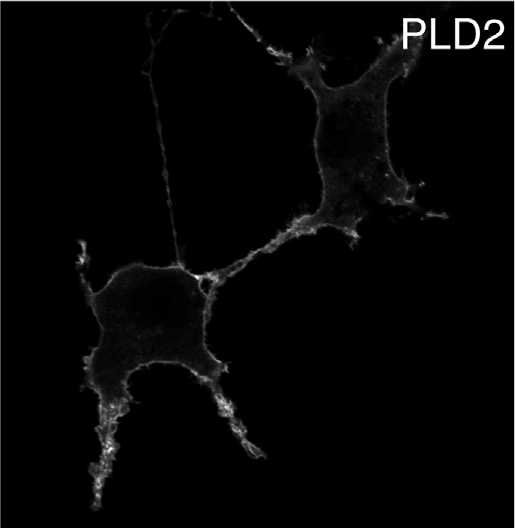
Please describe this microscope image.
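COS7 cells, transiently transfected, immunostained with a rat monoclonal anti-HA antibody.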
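Two cultured cells with irregular, angular bodies and long tapering processes, one joined to the other by a long thin strand. White fluorescence outlines the cell borders: the margins of the cell bodies, the processes and ruffled, frayed tips are bright, while the cell interiors are dim and fairly uniform. Fine filament-like extensions along the edges are also outlined. Few discrete intracellular dots are seen; the labelling is mainly a rim around each cell.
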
